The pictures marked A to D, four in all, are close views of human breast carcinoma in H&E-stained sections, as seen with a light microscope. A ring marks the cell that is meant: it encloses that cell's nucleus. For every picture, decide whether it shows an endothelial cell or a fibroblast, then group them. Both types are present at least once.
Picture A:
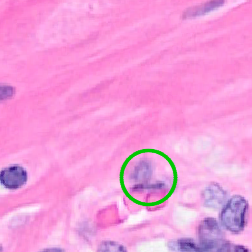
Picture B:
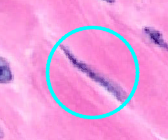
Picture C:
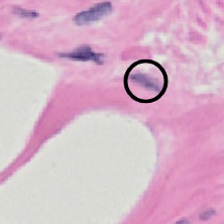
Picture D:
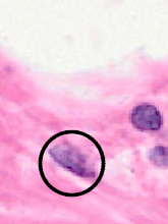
A: endothelial cell
B: fibroblast
C: fibroblast
D: fibroblast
